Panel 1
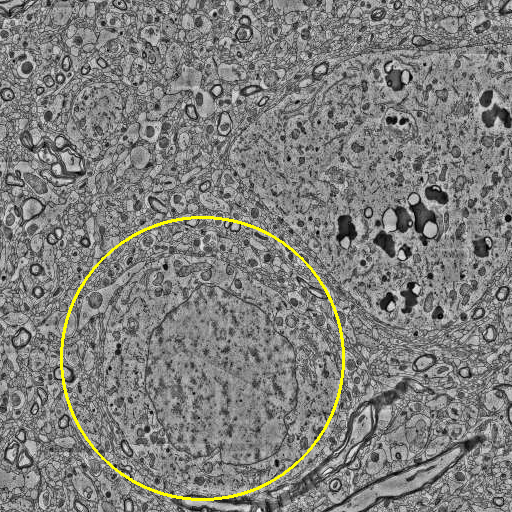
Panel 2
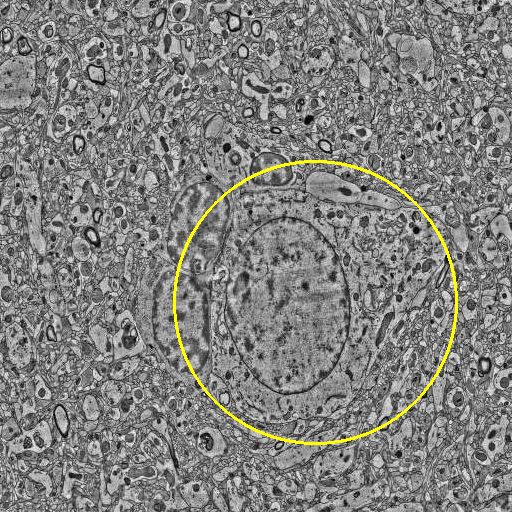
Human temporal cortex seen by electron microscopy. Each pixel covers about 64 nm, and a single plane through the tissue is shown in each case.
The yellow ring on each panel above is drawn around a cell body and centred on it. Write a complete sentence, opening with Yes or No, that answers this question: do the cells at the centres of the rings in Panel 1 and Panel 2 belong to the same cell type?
Yes, both cells belong to the same cell type.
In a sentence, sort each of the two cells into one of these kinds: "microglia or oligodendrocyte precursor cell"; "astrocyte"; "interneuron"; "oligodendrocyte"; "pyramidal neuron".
The cell in the first picture is a pyramidal neuron, and so is the one in the second.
